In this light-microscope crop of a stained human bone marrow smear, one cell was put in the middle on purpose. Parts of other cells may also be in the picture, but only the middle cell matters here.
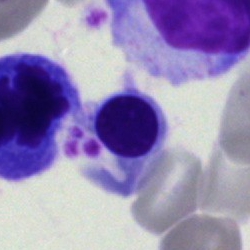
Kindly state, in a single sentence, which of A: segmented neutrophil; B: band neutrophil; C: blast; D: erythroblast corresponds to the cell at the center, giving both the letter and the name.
The cell at the heart of the crop is an erythroblast, so choose option D.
